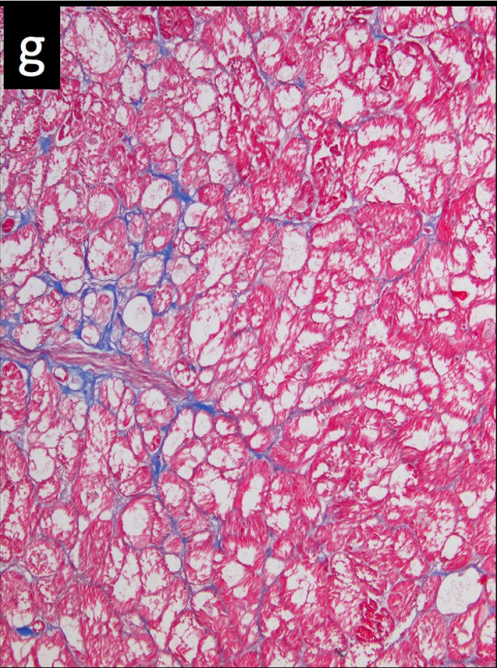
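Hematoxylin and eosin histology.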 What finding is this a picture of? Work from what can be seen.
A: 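Large cytoplasmic and perinuclear vacuoles. Many cells contain large clear, unstained spaces within their cytoplasm. The red-staining material is pushed to the rims of many cells, leaving pale centres.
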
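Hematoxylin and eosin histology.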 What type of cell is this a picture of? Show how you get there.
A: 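Densely packed, rounded-to-polygonal muscle cells in cross-section with red-pink cytoplasm. Cells separated by thin strands of interstitial tissue. Fibrillar texture within the red cytoplasm.
Conclusion: cardiomyocytes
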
